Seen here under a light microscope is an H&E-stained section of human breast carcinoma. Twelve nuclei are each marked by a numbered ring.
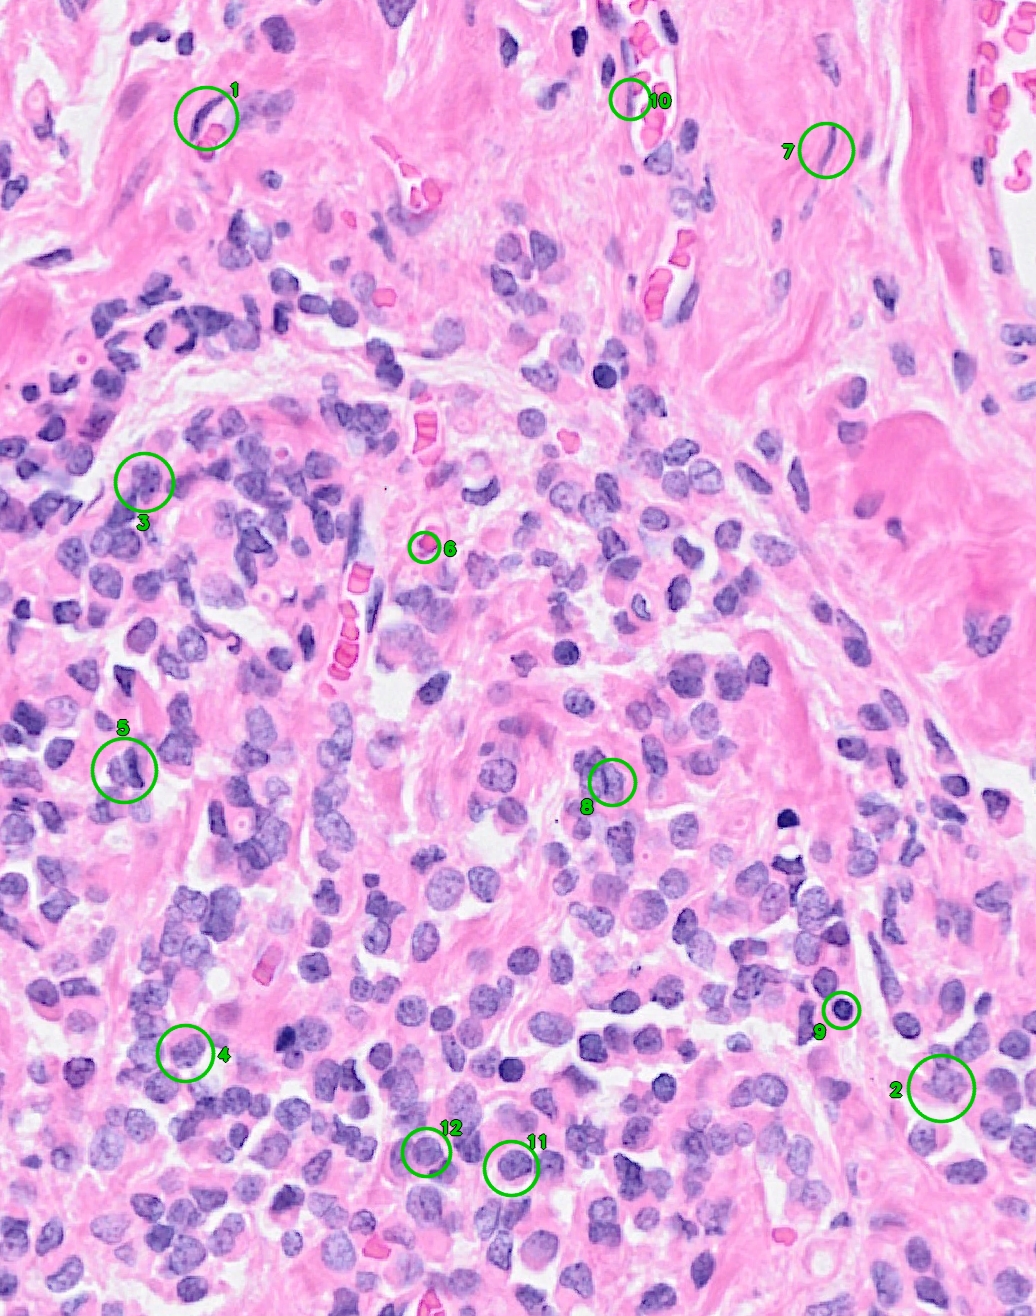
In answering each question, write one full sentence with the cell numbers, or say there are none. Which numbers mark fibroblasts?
Just one of the numbered cells is a fibroblast, namely number 7.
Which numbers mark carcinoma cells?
The cells labelled 2, 3, 4, 5, 8, 11 and 12 in this section are carcinoma cells.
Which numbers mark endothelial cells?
The cells numbered 1, 6 and 10 are, by type, endothelial cells.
